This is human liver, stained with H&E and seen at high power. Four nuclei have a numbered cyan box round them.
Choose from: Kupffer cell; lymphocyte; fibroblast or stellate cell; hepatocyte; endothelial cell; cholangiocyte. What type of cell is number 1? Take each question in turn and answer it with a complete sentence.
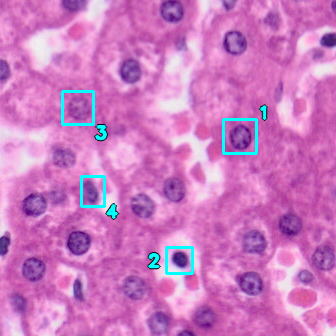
Of the numbered cells, the one labelled 1 is a hepatocyte.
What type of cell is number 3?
Cell 3, among those numbered, is a hepatocyte.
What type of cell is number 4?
The cell marked with the number 4 is a Kupffer cell.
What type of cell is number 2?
Heads up, the cell numbered 2 is a lymphocyte.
